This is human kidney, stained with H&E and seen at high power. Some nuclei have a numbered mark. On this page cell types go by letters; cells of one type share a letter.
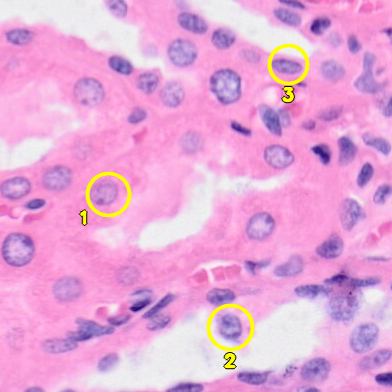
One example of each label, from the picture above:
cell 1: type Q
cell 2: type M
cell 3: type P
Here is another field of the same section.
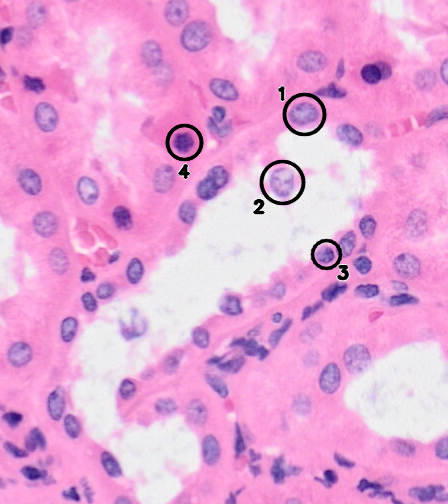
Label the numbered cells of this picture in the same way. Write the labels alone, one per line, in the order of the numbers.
type M
type M
type M
type Q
